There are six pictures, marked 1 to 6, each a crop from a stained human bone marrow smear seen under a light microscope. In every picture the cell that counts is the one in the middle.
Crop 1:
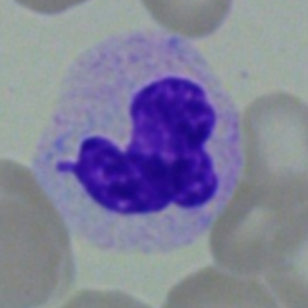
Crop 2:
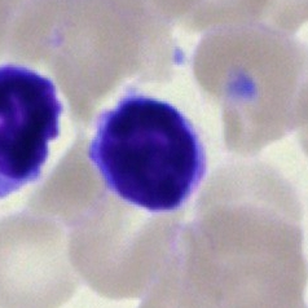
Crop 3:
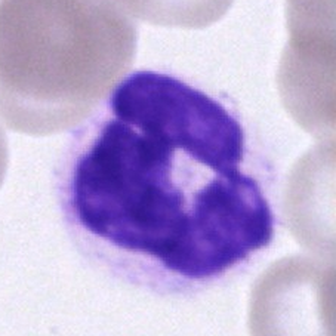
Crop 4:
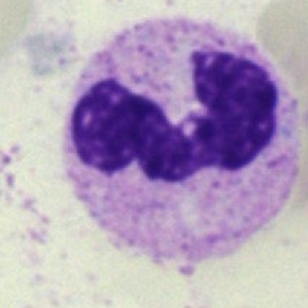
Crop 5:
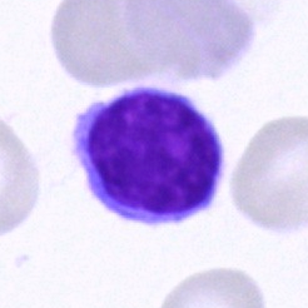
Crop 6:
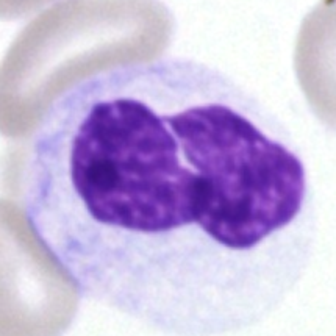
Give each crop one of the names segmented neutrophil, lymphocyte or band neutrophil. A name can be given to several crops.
1: segmented neutrophil
2: lymphocyte
3: segmented neutrophil
4: segmented neutrophil
5: lymphocyte
6: band neutrophil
